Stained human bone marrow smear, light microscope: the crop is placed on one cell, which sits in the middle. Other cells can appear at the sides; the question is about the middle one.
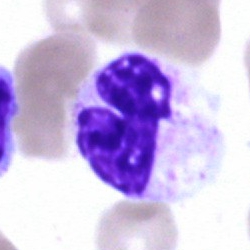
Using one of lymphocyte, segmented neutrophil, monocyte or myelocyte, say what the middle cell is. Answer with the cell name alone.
segmented neutrophil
